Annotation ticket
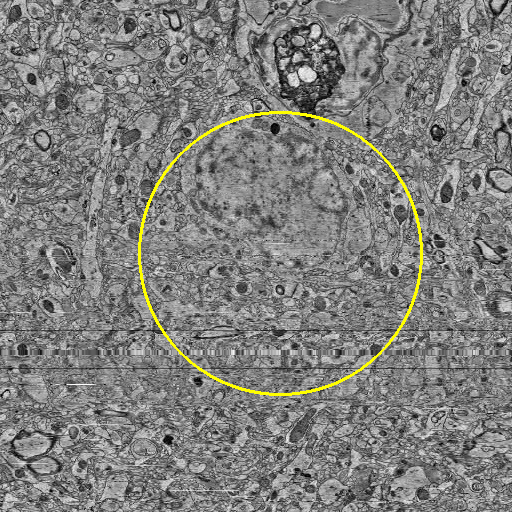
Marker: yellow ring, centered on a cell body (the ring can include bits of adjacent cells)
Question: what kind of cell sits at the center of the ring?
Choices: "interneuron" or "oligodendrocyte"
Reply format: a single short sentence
The ring is centered on an interneuron.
